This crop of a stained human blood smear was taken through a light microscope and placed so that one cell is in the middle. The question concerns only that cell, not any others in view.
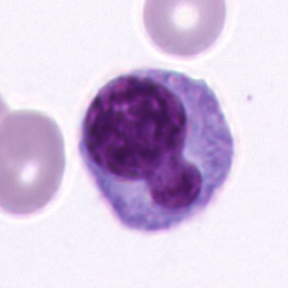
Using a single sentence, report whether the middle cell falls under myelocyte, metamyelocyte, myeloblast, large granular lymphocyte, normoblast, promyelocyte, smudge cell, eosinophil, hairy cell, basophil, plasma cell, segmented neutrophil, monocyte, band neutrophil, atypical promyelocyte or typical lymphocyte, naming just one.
The cell of interest, located centrally, is a plasma cell.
